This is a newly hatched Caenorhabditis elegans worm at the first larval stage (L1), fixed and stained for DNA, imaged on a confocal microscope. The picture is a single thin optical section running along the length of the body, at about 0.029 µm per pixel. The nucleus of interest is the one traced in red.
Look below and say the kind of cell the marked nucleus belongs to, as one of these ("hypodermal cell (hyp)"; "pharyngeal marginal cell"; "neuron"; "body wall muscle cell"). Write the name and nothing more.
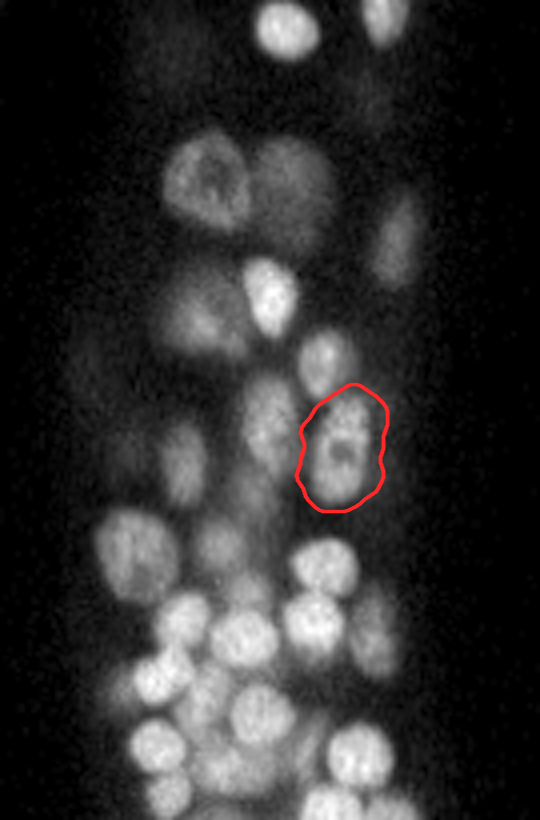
body wall muscle cell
